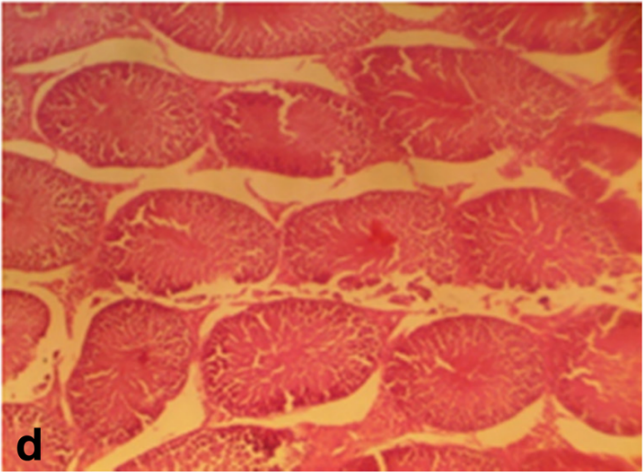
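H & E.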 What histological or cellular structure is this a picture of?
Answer: seminiferous tubules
